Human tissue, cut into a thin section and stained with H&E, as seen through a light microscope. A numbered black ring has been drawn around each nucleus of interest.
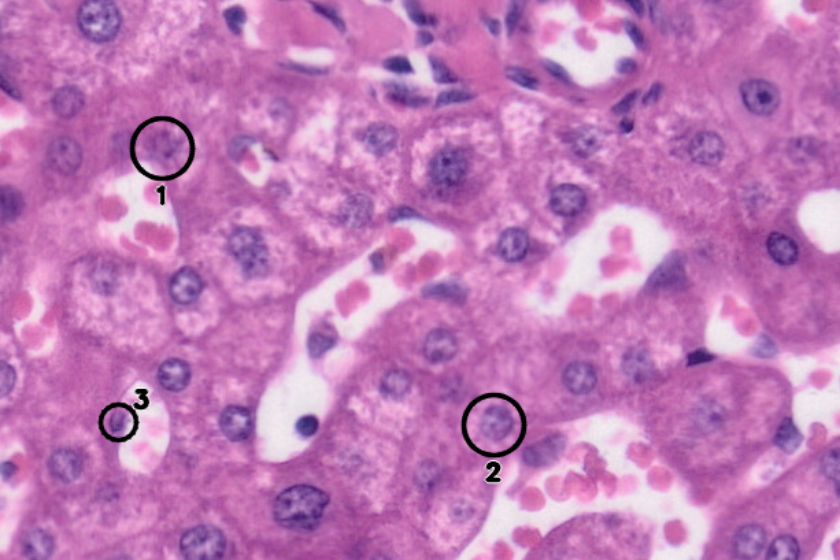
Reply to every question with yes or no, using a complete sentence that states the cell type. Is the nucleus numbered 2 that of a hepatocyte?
Yes, to put it simply, cell number 2 is a hepatocyte.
